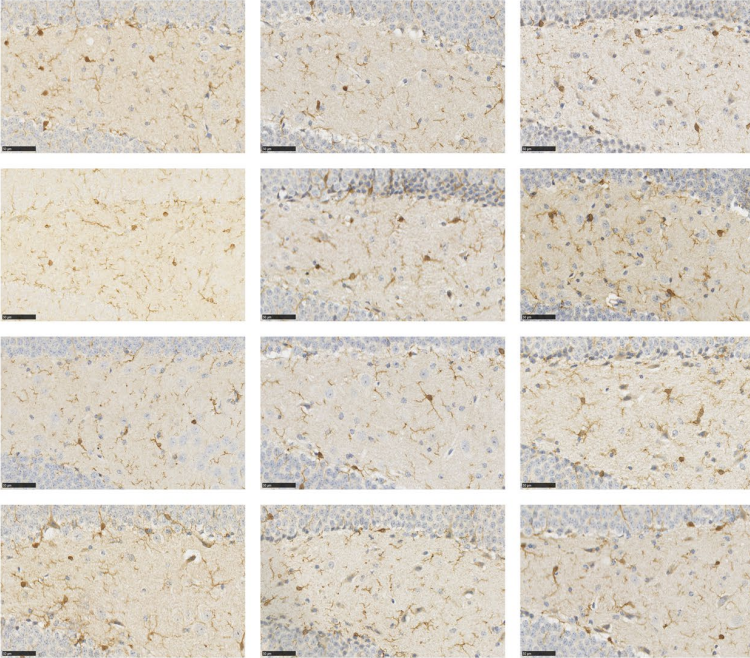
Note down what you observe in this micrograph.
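These images show sections of the dentate gyrus with brown-stained microglia scattered among blue-counterstained nuclei. Curved bands of densely packed small round blue nuclei run along the edges of several images, enclosing a paler, less cellular region. The microglia have small, dark brown cell bodies from which thin, finely branched processes radiate in several directions. These cells are spread singly and fairly evenly through the tissue, and their processes do not overlap much with those of neighbouring cells. Across the images the density and stain intensity of the brown cells vary somewhat, while their branched form stays similar.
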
